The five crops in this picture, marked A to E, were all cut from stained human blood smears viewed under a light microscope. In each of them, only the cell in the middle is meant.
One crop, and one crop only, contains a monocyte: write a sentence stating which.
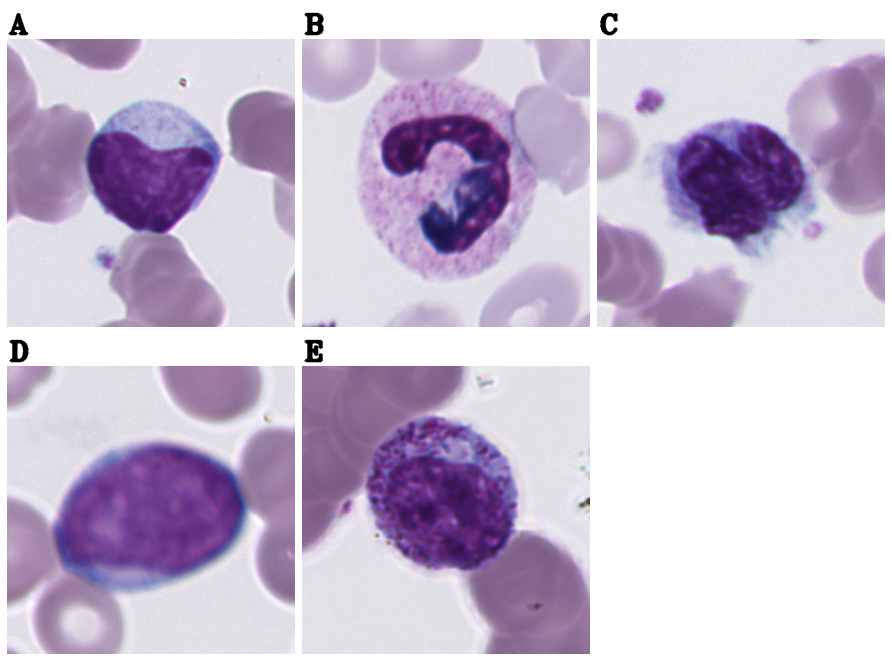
Crop C is identified as the crop showing a monocyte.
